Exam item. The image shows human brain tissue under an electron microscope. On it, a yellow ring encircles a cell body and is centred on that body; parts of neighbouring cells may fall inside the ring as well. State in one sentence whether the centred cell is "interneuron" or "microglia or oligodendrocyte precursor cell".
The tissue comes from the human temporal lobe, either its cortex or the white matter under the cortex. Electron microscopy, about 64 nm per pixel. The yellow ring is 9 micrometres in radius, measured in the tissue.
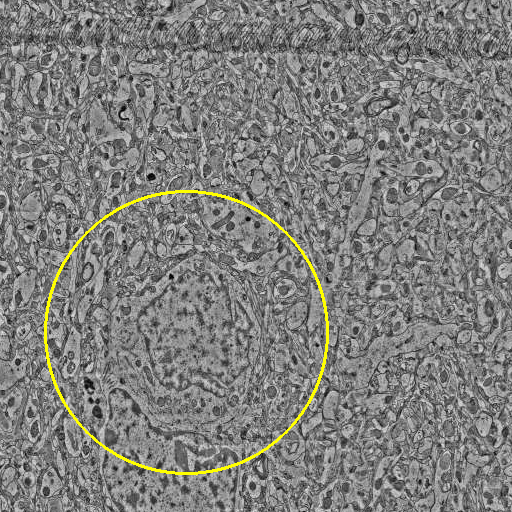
The cell body centred in the ring is an interneuron.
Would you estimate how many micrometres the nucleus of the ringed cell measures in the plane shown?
Approximately 8 micrometers across in this plane.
